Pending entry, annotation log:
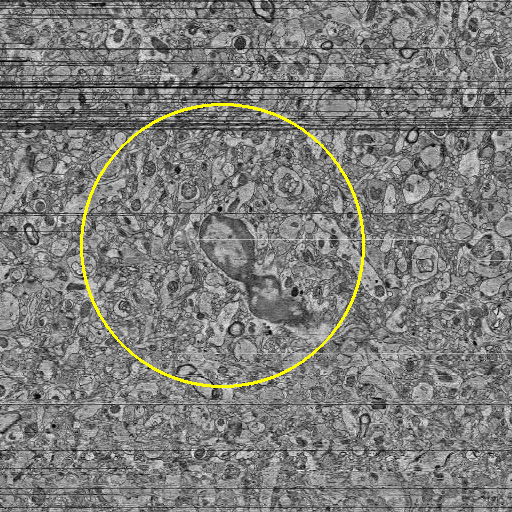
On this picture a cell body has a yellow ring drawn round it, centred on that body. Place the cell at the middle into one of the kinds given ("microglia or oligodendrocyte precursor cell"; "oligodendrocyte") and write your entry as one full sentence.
The cell body at the middle of the yellow ring belongs to a microglial cell or oligodendrocyte precursor cell.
